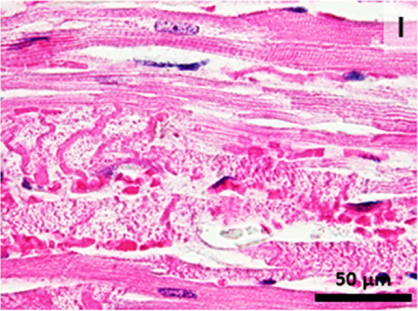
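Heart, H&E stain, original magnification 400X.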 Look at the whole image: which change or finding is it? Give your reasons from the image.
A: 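Fragmentation and loss of myocardial fibers. In the middle of the field the muscle fibers are broken into irregular fragments and granular debris. Fibers at the top still show cross striations. Red blood cells lie among the broken fibers.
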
